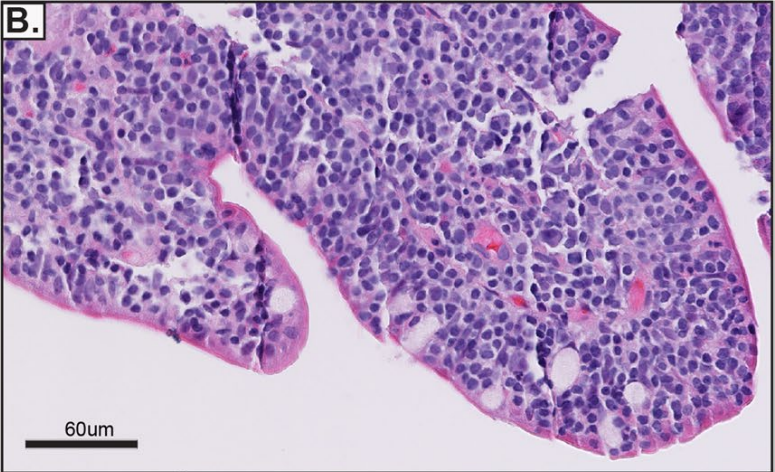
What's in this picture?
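Small intestinal villi are shown at higher power, their columnar epithelial lining heavily infiltrated by small lymphocytes. Numerous small, round, darkly stained nuclei crowd the epithelial layer and the underlying core, making the border between epithelium and lamina propria hard to see. A few clear, rounded goblet cells are scattered in the lining, and a thin pink brush border runs along the luminal surface. Small capillaries with red blood cells lie within the villous cores.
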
